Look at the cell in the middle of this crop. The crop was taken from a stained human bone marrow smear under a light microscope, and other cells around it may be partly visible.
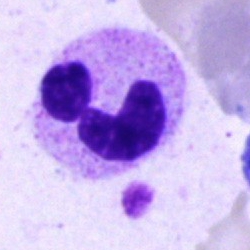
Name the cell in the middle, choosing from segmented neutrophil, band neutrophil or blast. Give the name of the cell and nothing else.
segmented neutrophil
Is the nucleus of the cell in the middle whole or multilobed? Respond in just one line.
Two or more lobes make up the nucleus of this cell.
